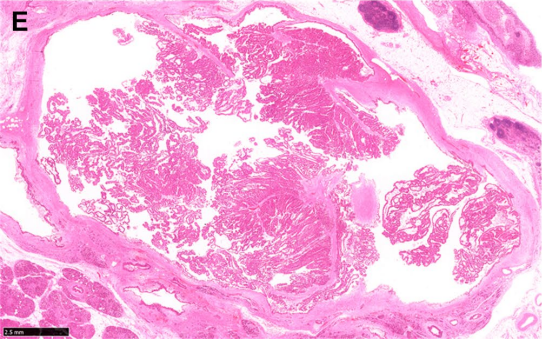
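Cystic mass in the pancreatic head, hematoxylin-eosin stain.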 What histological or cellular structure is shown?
Arborizing papillae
